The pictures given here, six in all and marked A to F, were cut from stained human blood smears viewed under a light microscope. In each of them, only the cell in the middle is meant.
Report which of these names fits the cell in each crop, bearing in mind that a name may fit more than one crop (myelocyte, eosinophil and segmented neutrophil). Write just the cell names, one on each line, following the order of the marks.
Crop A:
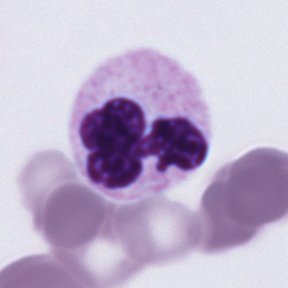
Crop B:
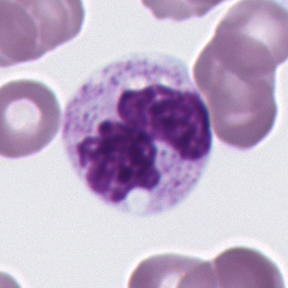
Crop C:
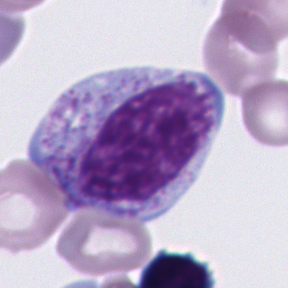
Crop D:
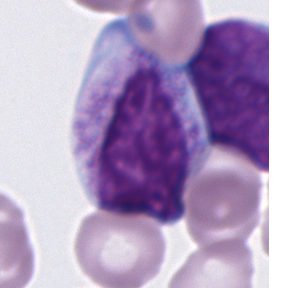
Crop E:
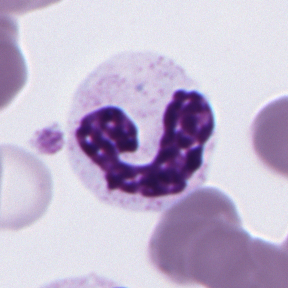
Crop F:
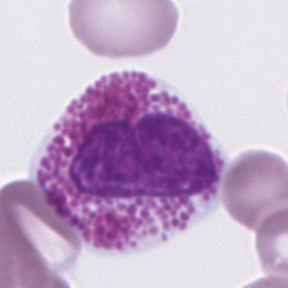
segmented neutrophil
segmented neutrophil
myelocyte
myelocyte
segmented neutrophil
eosinophil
